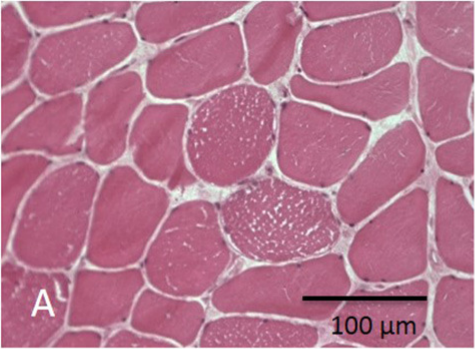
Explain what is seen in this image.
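Transverse section of skeletal muscle with polygonal myofibers of fairly similar size, separated by thin pale endomysium, with small dark nuclei at the fiber periphery. Two adjacent fibers near the center contain numerous small clear vacuoles scattered through their pink cytoplasm, giving a speckled appearance.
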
